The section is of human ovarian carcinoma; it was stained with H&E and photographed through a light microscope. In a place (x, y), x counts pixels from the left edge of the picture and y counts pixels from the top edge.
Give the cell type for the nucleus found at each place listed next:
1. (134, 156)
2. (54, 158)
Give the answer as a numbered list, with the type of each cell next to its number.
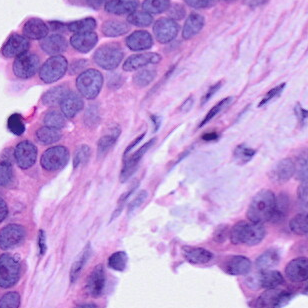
1. fibroblast
2. carcinoma cell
